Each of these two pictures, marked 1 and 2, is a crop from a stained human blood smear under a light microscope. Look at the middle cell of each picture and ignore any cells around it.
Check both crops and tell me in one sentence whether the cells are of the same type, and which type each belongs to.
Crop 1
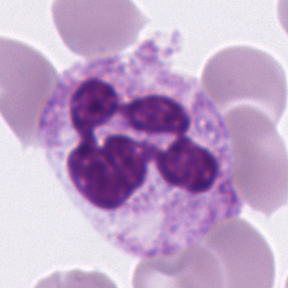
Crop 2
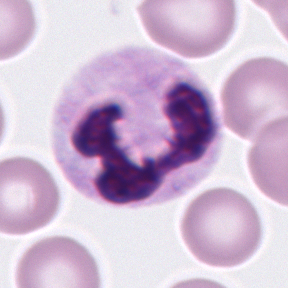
Yes, both crops contain segmented neutrophils at their centres.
